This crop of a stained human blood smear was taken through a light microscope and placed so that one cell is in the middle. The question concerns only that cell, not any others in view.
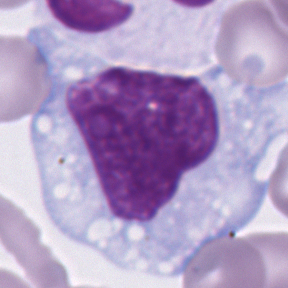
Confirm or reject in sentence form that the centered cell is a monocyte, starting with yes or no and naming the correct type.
Yes, the cell found in the middle is a monocyte.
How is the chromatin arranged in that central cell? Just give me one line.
What stands out is fine chromatin lacking any coarse clumps.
